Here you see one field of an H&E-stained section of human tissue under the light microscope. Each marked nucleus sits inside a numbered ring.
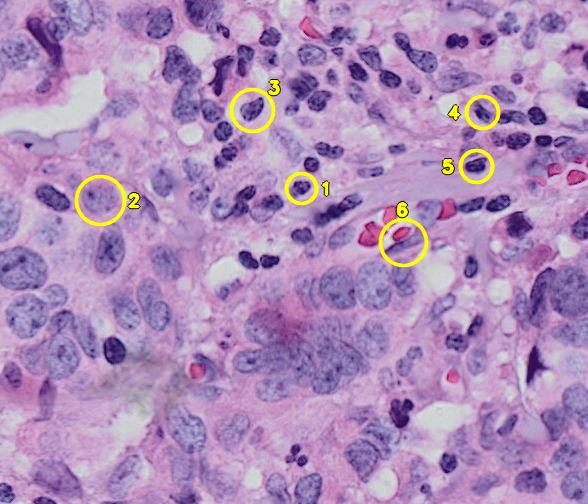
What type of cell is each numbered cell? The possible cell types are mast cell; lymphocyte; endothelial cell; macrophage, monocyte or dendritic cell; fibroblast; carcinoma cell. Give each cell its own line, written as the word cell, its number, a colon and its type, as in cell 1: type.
cell 1: lymphocyte
cell 2: carcinoma cell
cell 3: lymphocyte
cell 4: lymphocyte
cell 5: lymphocyte
cell 6: endothelial cell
